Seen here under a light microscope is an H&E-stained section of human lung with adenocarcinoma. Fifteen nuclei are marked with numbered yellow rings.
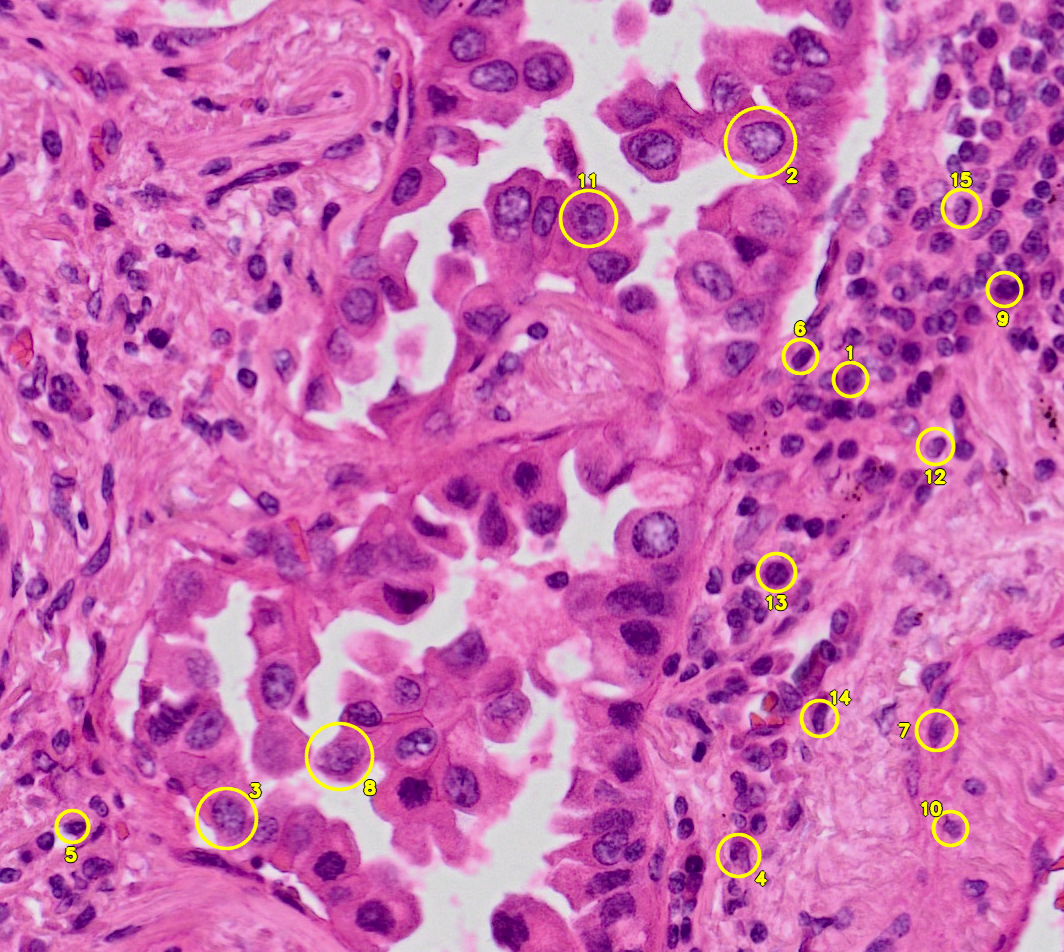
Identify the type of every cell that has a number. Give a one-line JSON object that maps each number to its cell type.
{"1": "plasma cell", "2": "carcinoma cell", "3": "carcinoma cell", "4": "plasma cell", "5": "plasma cell", "6": "lymphocyte", "7": "smooth muscle cell or pericyte", "8": "carcinoma cell", "9": "plasma cell", "10": "smooth muscle cell or pericyte", "11": "carcinoma cell", "12": "lymphocyte", "13": "plasma cell", "14": "plasma cell", "15": "lymphocyte"}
